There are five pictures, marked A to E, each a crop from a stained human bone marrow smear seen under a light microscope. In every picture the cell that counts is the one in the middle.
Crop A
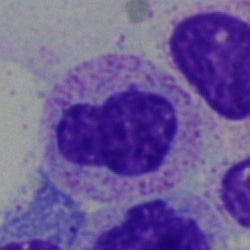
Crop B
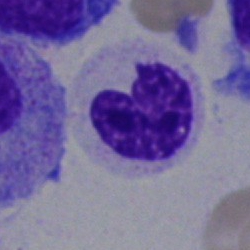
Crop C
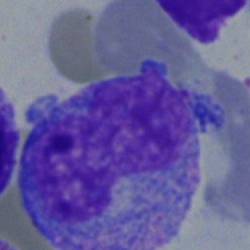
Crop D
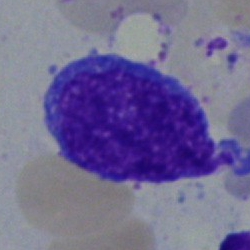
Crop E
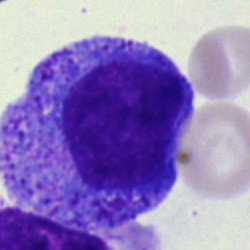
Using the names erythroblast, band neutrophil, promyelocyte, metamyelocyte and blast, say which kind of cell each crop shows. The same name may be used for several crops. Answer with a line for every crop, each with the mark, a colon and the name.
A: metamyelocyte
B: band neutrophil
C: promyelocyte
D: blast
E: promyelocyte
